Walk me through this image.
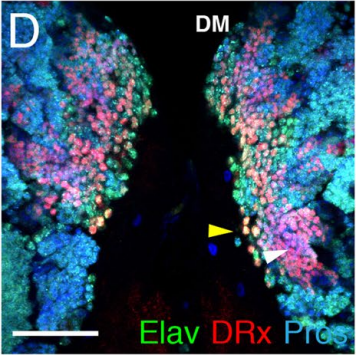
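This is the central part of a larval brain, with the two hemispheres facing each other across a dark midline gap and packed with small, round nuclei of lineage cells, neuron precursors and neurons. Many of these nuclei also carry green, especially toward the cluster edges, where they look pale yellowish. Farther out, the tissue is dominated by blue and cyan nuclei without red. The cells are tightly packed and roughly uniform in size, with no obvious cytoplasm or processes visible at this scale.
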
